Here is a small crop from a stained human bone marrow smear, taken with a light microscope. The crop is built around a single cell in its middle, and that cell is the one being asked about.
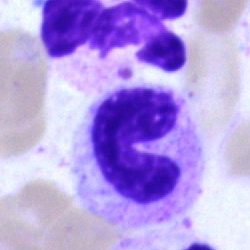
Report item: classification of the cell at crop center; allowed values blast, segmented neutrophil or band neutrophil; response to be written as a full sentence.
In short, the cell at the center is a band neutrophil.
